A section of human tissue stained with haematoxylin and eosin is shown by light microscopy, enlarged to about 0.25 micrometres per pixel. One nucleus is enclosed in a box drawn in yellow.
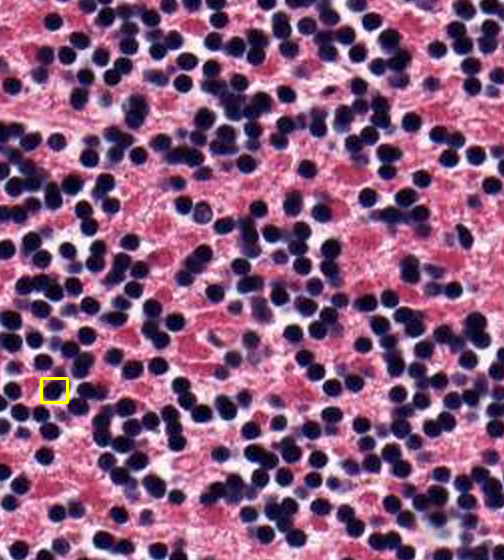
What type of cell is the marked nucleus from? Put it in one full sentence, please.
It is a cerebellar granule cell that the marked nucleus belongs to.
